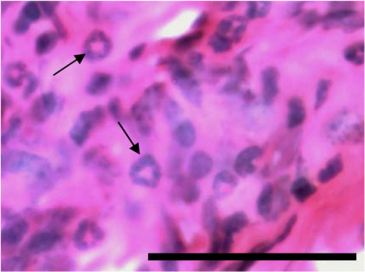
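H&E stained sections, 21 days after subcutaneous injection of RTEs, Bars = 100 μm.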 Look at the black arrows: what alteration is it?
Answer: Abnormal nuclei.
